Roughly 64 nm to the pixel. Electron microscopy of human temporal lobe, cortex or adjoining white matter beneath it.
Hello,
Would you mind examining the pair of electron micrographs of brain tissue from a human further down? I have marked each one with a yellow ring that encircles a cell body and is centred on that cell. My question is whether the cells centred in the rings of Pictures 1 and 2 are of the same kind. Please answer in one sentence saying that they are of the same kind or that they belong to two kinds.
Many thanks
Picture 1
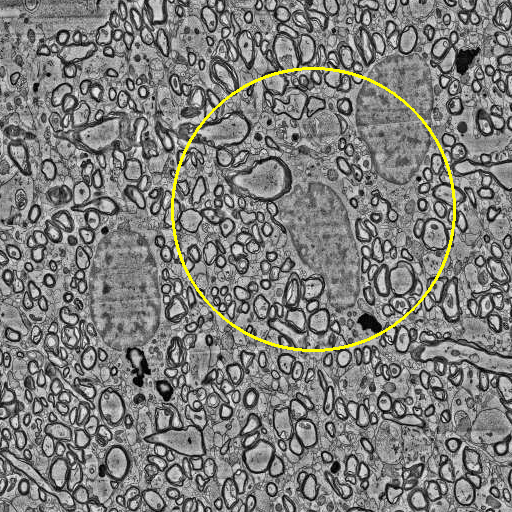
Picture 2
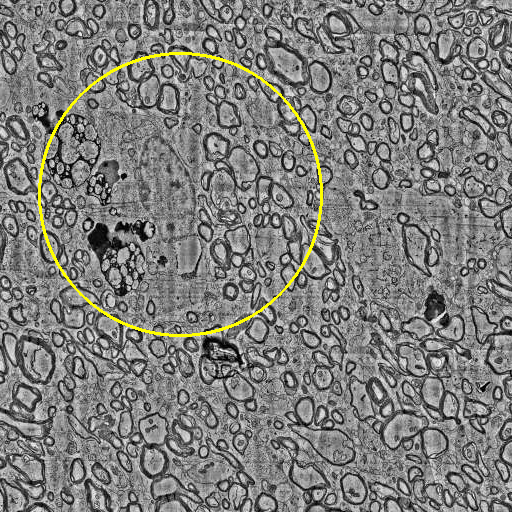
In Pictures 1 and 2, the cells at the heart of the rings belong to two kinds.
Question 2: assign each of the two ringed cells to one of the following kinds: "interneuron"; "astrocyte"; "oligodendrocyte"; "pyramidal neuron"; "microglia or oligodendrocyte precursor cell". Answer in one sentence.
The two cells are an oligodendrocyte in the first picture and an astrocyte in the second.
